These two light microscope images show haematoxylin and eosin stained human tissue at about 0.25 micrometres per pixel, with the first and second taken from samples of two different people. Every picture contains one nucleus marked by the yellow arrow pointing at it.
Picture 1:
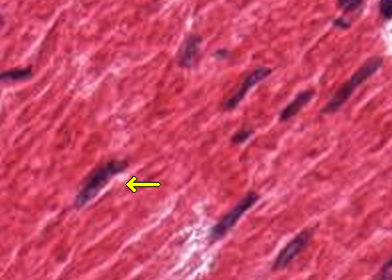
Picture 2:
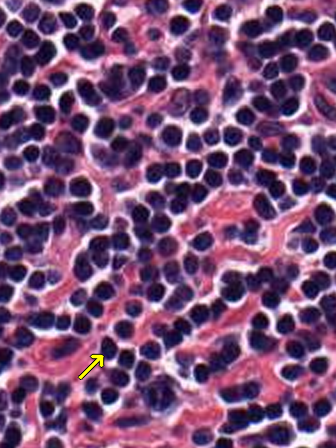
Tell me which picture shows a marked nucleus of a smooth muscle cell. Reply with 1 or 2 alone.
1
